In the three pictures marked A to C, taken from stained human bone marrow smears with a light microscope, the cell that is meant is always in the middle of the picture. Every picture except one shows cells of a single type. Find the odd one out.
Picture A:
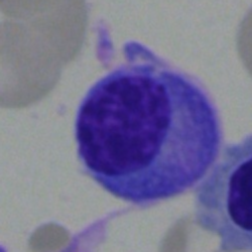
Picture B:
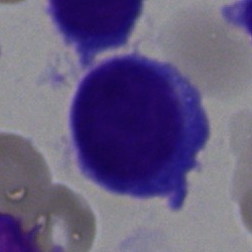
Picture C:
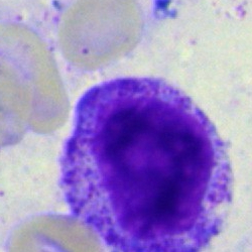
C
